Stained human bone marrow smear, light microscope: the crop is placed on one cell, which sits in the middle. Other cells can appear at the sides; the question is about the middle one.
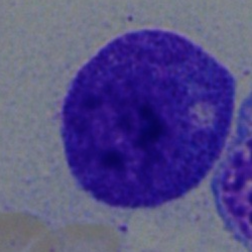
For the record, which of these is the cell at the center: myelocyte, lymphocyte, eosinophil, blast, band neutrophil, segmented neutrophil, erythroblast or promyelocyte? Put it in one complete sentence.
For this crop, the central cell is a promyelocyte.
